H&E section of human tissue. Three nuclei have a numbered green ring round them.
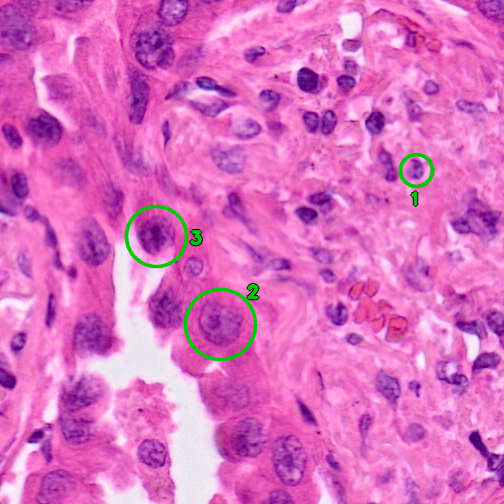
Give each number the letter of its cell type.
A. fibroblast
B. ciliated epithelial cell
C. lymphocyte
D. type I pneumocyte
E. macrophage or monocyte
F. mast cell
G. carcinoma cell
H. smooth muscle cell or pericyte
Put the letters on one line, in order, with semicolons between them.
C; G; G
